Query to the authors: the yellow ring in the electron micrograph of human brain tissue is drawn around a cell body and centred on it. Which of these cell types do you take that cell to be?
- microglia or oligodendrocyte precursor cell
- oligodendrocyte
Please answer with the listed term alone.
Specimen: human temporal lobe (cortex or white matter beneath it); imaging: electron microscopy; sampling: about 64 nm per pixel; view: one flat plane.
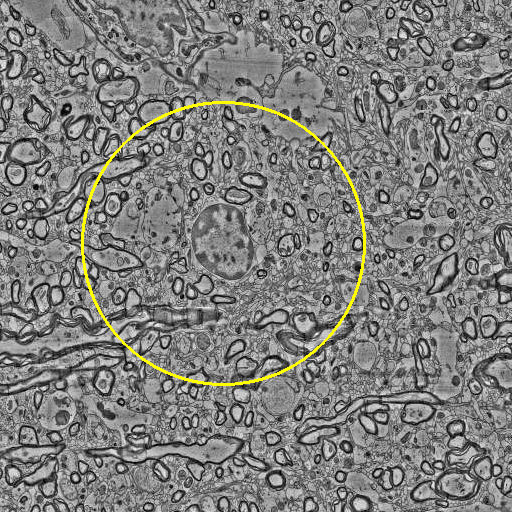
microglia or oligodendrocyte precursor cell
